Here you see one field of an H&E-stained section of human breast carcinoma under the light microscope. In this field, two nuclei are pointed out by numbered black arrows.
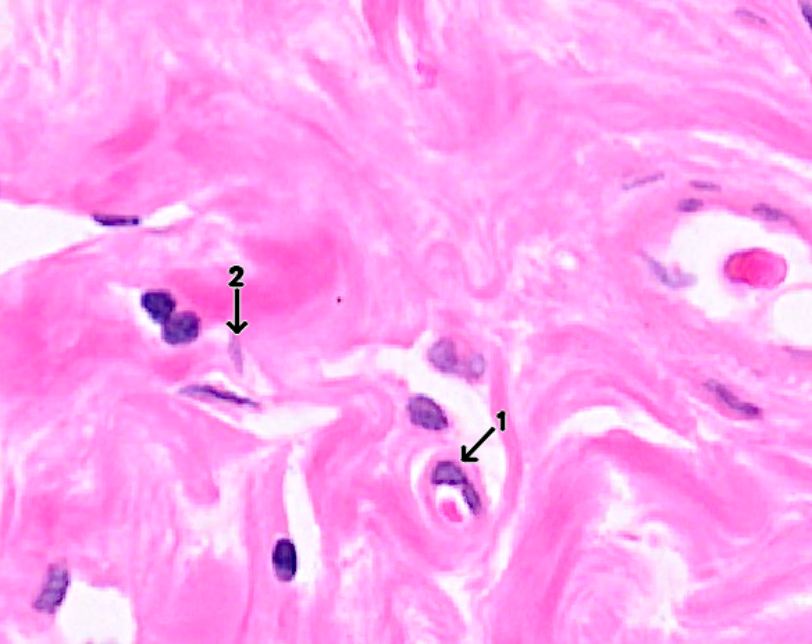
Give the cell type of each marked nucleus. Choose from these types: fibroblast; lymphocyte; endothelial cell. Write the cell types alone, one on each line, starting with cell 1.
endothelial cell
fibroblast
